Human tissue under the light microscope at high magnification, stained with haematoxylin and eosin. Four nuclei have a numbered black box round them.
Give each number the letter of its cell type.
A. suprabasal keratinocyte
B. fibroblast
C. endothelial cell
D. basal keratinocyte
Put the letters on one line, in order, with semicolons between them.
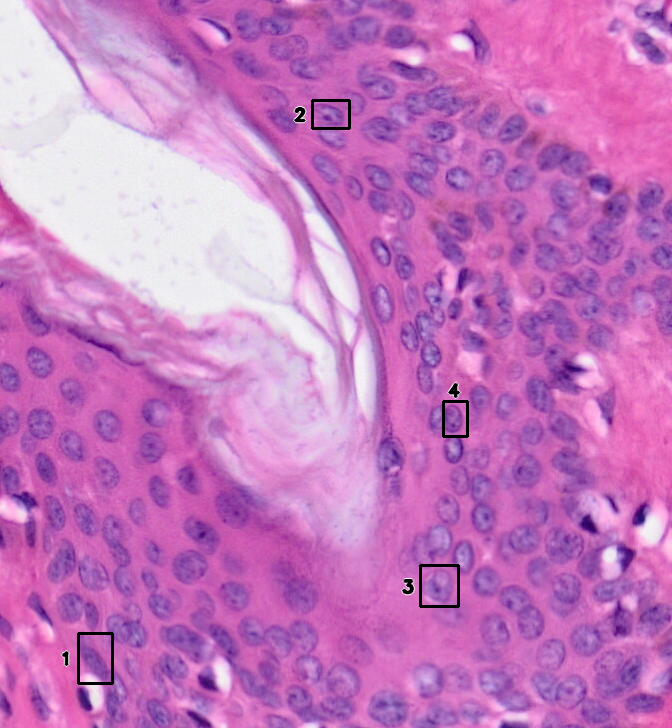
D; A; A; A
